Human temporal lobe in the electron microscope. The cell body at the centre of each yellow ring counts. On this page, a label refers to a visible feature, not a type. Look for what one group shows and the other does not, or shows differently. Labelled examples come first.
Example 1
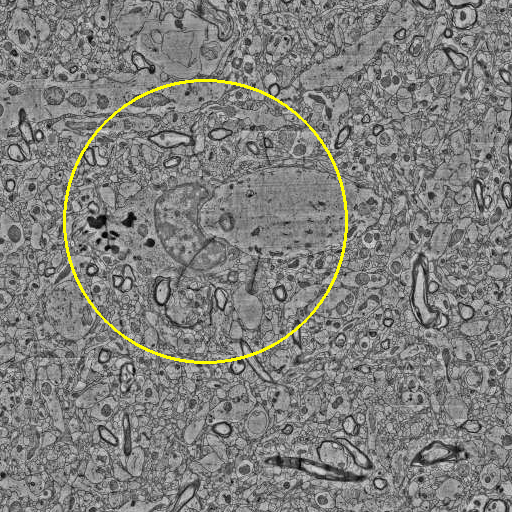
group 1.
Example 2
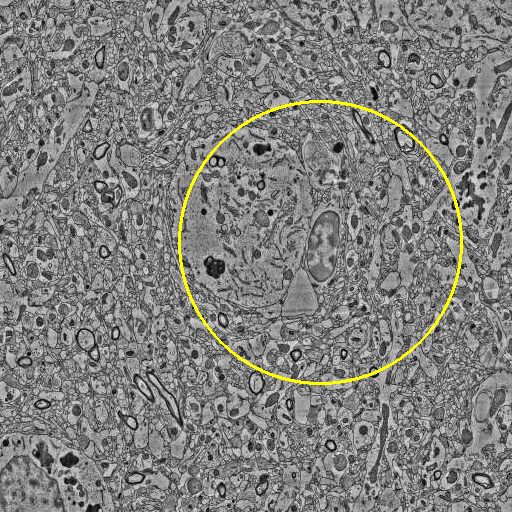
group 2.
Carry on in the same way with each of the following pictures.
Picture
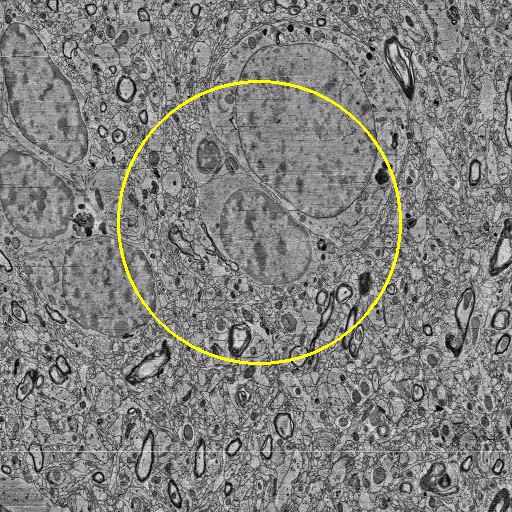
group 2.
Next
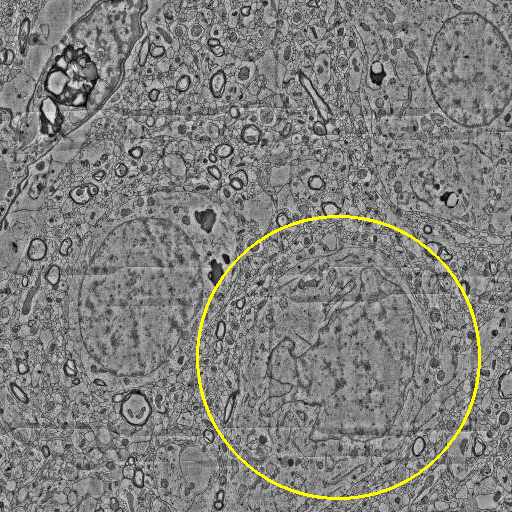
group 1.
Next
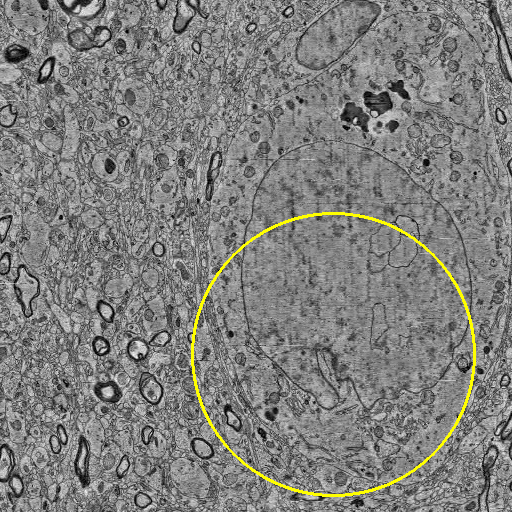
group 1.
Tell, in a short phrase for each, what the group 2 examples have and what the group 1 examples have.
In group 2: smooth nuclear envelopes without deep folds. In group 1: deeply folded or indented nuclear envelopes.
